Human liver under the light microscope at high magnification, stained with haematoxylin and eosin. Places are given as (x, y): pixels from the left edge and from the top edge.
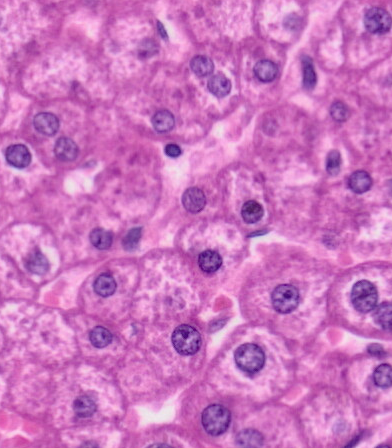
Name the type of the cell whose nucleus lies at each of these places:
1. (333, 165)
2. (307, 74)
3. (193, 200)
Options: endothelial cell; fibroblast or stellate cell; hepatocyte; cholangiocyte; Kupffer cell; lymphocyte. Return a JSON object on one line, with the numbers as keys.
{"1": "Kupffer cell", "2": "Kupffer cell", "3": "hepatocyte"}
